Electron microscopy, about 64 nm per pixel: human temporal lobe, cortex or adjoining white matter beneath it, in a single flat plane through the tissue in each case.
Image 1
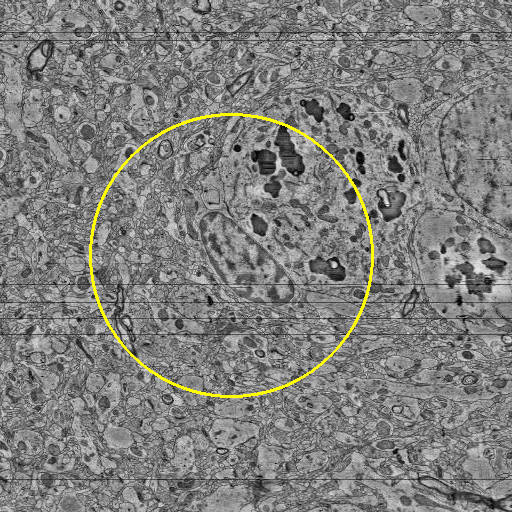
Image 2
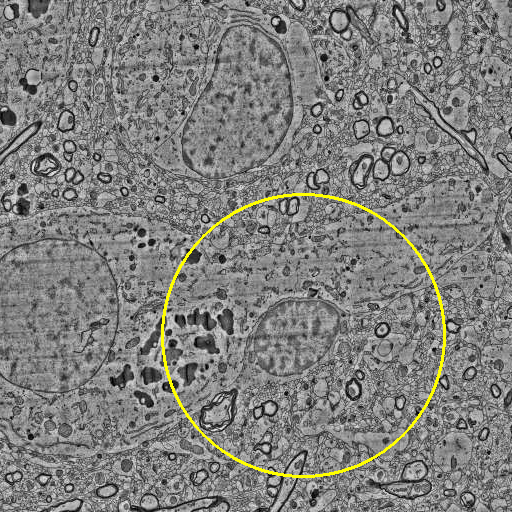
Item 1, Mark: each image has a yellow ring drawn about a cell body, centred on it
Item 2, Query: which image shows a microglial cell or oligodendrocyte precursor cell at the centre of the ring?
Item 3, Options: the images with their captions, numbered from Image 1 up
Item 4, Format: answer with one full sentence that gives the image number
My answer is image 1, where the cell at the ring's centre fits.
